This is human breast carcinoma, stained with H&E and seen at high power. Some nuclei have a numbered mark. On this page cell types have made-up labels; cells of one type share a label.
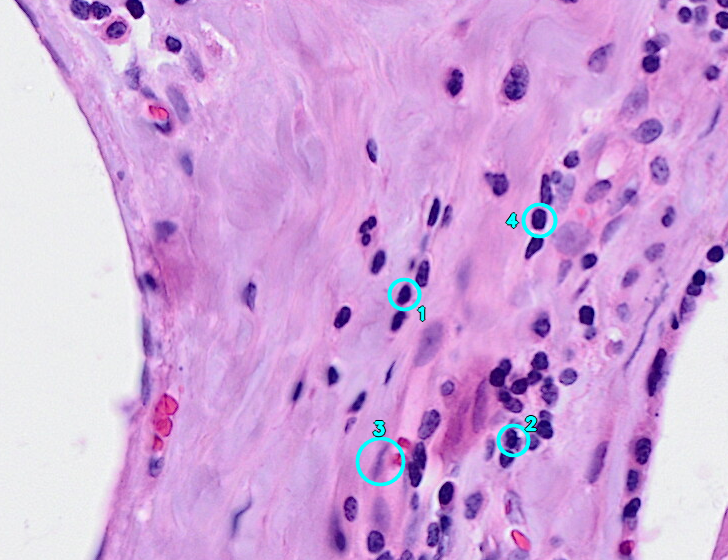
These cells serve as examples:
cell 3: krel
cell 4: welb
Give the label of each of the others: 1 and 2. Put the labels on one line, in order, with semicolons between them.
welb; welb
